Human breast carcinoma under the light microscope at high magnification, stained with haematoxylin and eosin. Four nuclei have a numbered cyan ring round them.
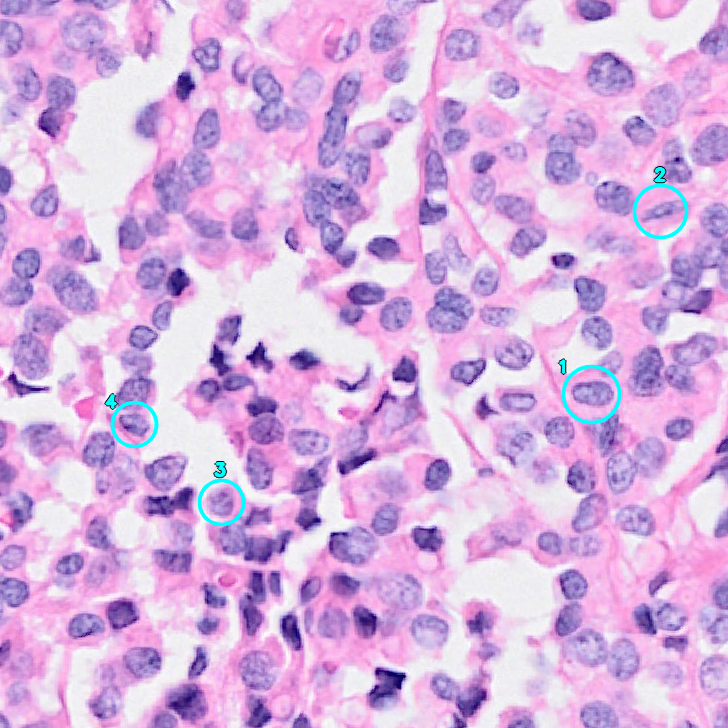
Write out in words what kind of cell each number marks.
Cells 1, 3 and 4 are carcinoma cells. Cell 2 is an endothelial cell.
